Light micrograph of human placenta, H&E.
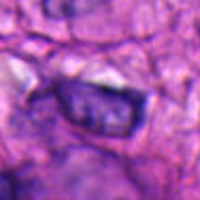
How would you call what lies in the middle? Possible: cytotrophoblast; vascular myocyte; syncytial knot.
I would call it a cytotrophoblast.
